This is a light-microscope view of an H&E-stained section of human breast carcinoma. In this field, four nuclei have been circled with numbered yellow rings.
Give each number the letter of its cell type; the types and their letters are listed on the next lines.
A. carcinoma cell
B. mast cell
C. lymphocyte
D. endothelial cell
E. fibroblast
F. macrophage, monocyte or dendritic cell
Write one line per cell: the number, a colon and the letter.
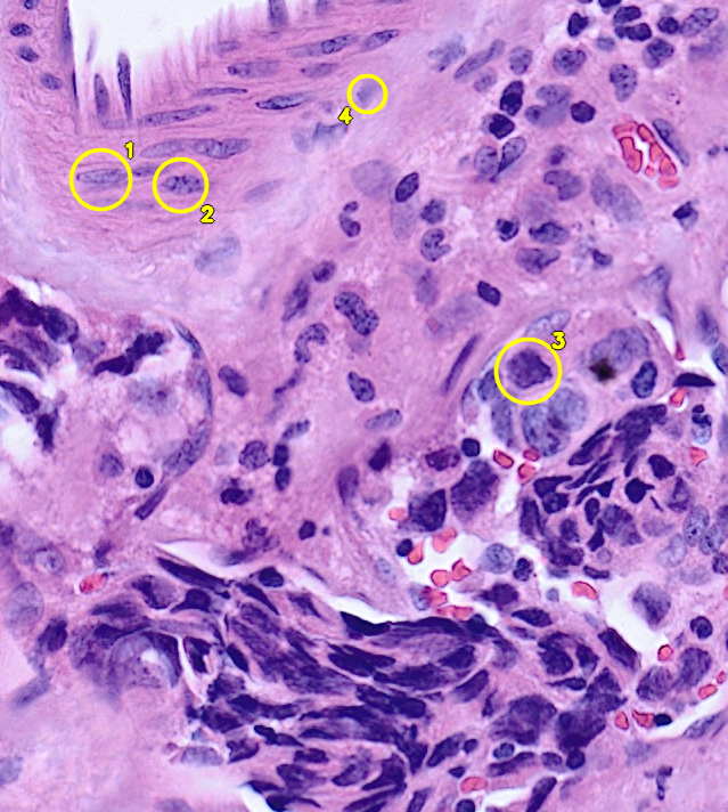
1: D
2: D
3: A
4: E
